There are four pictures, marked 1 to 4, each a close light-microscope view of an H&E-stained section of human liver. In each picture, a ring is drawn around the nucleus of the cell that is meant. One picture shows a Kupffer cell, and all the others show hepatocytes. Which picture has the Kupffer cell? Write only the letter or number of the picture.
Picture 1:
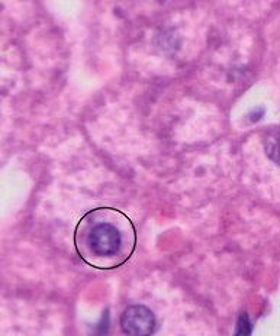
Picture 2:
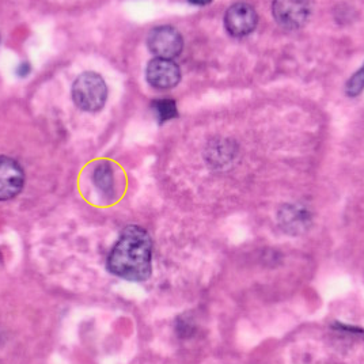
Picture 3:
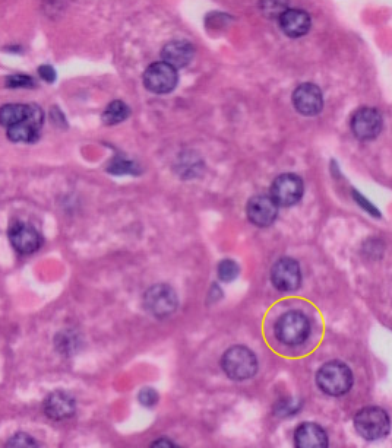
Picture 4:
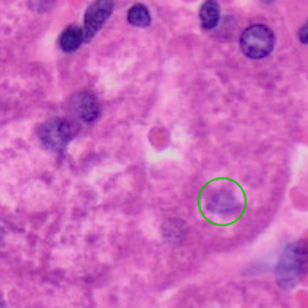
2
